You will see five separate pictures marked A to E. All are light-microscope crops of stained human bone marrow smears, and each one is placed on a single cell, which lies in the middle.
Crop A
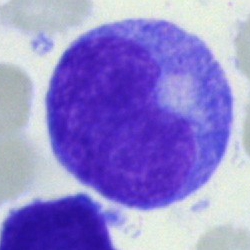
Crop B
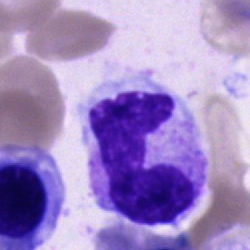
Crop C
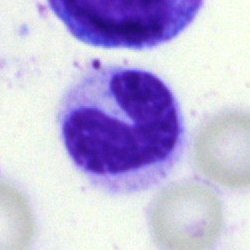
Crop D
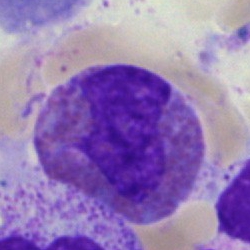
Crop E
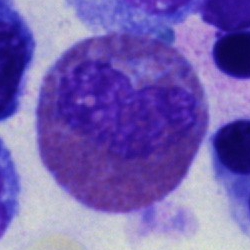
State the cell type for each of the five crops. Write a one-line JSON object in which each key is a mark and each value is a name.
{"A": "blast", "B": "band neutrophil", "C": "band neutrophil", "D": "eosinophil", "E": "eosinophil"}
